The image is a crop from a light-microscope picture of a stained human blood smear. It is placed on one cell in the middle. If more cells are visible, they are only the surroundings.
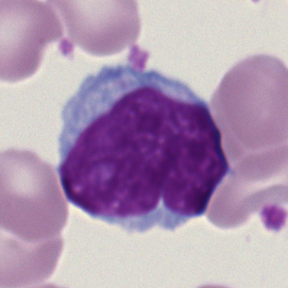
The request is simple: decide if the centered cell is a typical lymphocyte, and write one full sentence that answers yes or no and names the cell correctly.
Yes, in the centre of this field sits a typical lymphocyte.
